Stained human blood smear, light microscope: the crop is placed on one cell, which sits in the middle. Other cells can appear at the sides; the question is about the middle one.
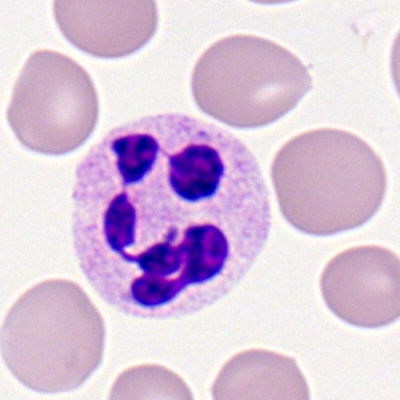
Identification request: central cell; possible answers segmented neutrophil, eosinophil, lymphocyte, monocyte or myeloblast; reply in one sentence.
In the middle of this smear crop, the cell is a segmented neutrophil.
